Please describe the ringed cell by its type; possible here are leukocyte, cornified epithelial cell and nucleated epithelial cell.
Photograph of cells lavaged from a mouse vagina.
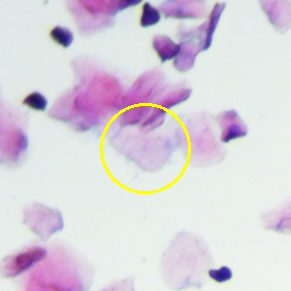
The yellow ring marks a cornified epithelial cell.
